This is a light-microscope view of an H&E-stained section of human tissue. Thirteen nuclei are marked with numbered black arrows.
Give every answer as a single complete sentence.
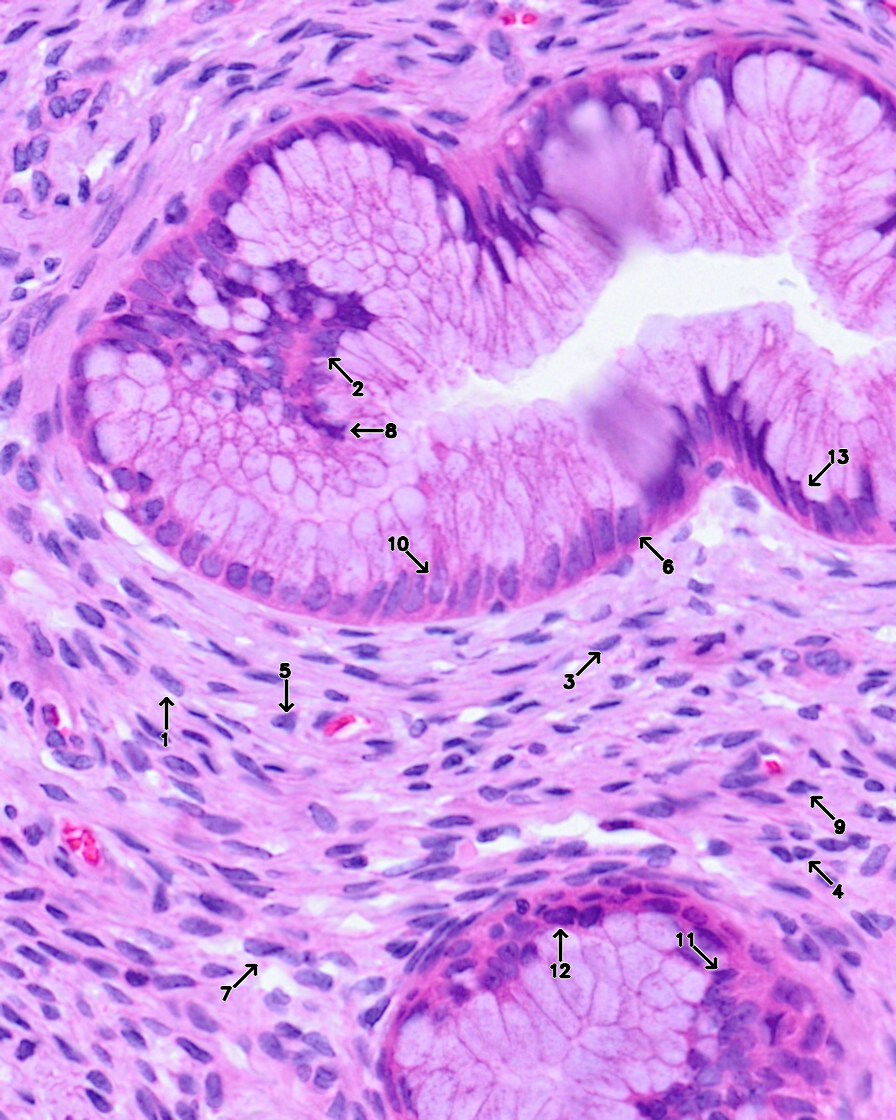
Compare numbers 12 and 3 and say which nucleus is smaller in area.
The smaller nucleus is 3, and 12 covers roughly 2 times its area.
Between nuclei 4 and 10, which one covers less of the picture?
Number 4 is smaller, since number 10 takes up about 2.5 times as much area.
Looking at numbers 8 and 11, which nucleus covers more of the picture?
Of the two, number 8 is bigger and takes up about 1.5 times the area of number 11.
